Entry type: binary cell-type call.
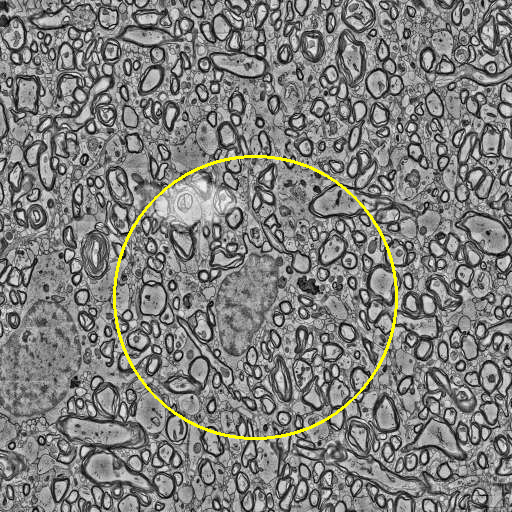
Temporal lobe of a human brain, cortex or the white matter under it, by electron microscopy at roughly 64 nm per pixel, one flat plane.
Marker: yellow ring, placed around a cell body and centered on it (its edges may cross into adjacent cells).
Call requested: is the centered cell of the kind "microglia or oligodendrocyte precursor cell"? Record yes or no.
no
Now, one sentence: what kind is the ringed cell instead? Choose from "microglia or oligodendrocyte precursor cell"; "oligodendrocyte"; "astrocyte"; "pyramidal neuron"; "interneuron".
The correct answer is that the cell is an oligodendrocyte.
